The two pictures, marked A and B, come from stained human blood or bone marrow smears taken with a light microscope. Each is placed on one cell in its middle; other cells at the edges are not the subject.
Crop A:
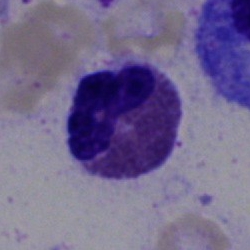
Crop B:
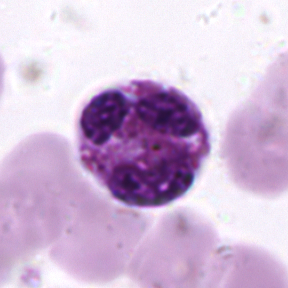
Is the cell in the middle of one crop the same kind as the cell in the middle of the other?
yes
